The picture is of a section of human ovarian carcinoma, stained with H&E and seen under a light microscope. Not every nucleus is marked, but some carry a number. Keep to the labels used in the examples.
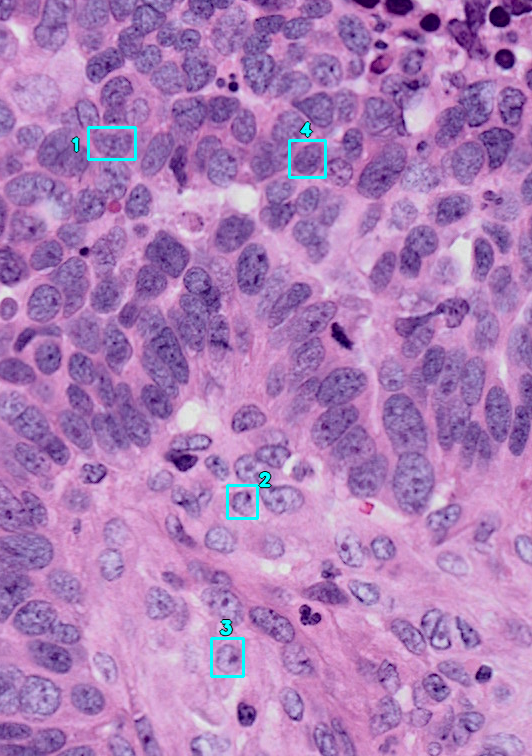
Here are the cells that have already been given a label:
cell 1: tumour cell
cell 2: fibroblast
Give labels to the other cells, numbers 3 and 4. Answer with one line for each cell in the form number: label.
3: fibroblast
4: tumour cell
